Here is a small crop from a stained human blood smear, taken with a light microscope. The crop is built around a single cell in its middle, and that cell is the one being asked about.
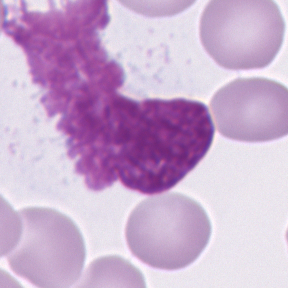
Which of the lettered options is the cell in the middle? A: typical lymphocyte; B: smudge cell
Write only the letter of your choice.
B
